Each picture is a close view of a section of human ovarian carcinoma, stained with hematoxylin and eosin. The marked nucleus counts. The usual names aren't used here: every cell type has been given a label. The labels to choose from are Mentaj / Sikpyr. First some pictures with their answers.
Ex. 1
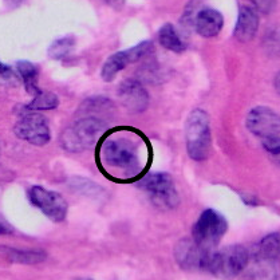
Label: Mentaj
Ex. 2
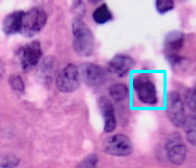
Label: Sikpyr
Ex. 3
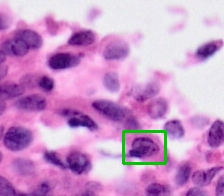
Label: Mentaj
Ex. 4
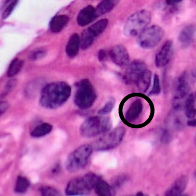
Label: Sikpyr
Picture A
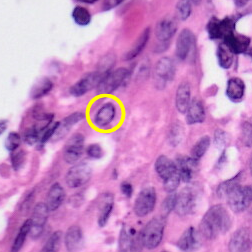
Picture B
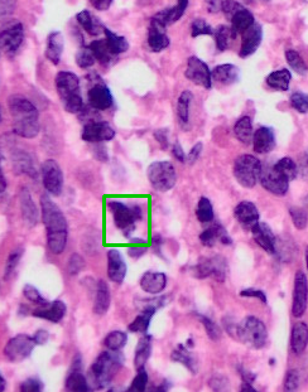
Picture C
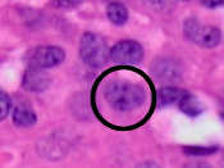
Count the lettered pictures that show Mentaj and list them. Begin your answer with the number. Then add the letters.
Count: 1 (A)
